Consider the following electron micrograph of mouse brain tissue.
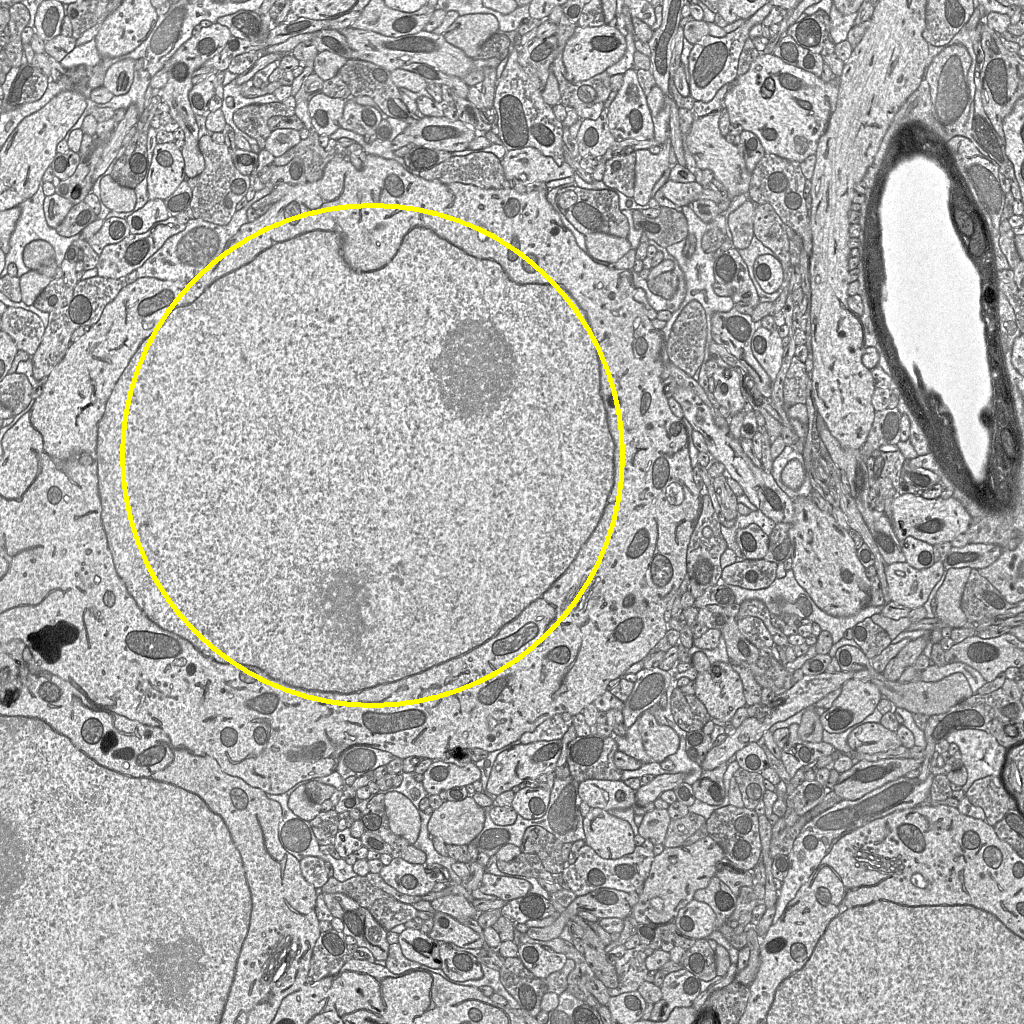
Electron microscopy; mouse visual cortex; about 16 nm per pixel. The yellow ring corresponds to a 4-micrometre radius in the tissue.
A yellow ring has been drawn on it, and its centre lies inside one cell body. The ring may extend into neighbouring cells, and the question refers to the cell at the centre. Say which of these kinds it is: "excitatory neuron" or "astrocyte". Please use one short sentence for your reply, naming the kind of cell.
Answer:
The centre of the ring falls on an excitatory neuron.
